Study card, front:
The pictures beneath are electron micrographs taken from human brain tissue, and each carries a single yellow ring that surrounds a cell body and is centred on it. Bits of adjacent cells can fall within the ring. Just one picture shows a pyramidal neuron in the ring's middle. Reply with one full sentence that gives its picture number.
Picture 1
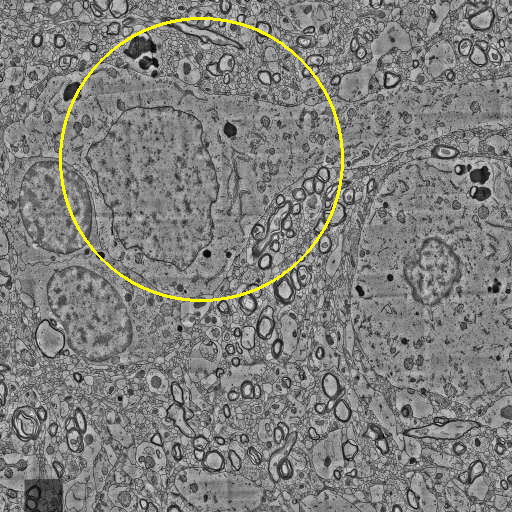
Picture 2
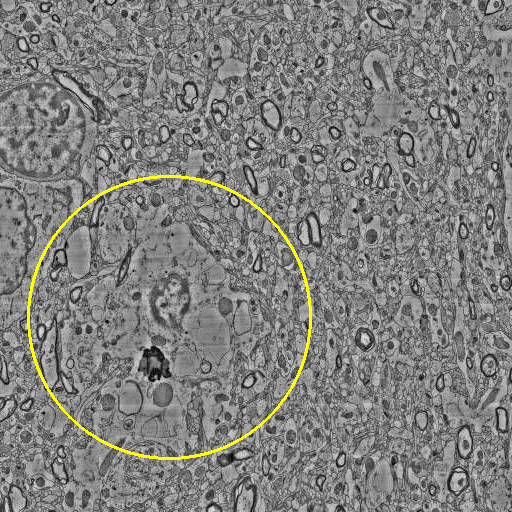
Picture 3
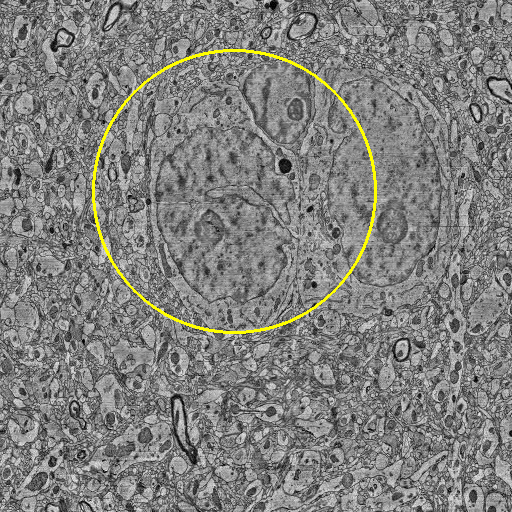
Picture 1 is the one whose ring has the requested cell at its centre.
